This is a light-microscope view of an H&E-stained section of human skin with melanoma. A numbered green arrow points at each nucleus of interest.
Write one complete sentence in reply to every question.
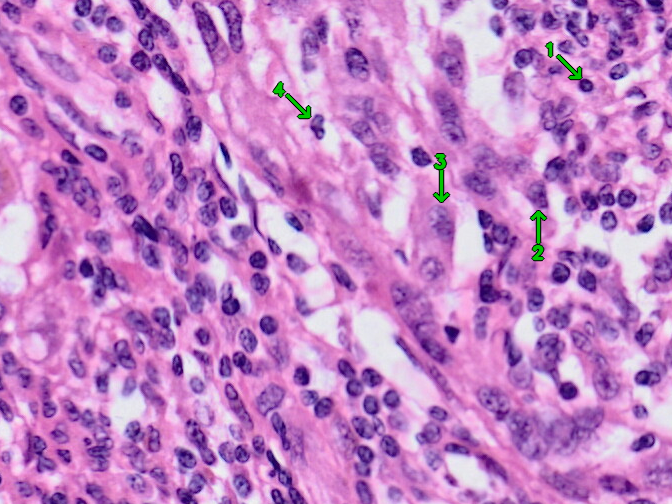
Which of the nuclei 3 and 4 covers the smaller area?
Nucleus 4 is the smaller one; nucleus 3 covers about 2 times its area.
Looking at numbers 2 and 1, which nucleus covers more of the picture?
Of the two, number 2 is bigger and takes up about 2.5 times the area of number 1.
